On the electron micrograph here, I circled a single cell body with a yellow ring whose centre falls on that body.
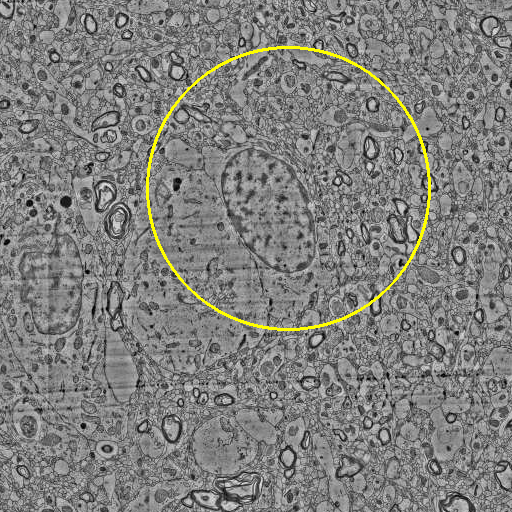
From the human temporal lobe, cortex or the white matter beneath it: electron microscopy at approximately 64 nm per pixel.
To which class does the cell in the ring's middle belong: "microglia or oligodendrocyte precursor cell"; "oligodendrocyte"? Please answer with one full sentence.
In this picture, the cell body circled at the ring's centre belongs to a microglial cell or oligodendrocyte precursor cell.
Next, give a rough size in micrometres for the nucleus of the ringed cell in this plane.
About 8 by 5 micrometers in this plane, so the nucleus is clearly longer than it is wide.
